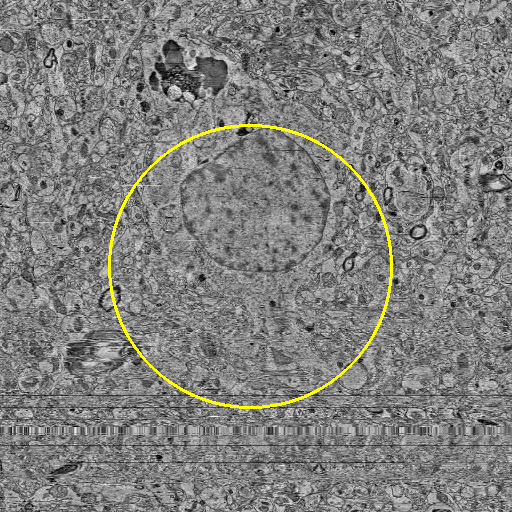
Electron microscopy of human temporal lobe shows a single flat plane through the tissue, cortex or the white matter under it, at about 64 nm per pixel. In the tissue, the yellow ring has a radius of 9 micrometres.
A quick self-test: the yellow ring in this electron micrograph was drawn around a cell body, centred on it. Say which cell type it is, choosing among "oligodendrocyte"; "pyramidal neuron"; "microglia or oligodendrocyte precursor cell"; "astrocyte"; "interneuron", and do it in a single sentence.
The yellow-ringed cell is an astrocyte.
